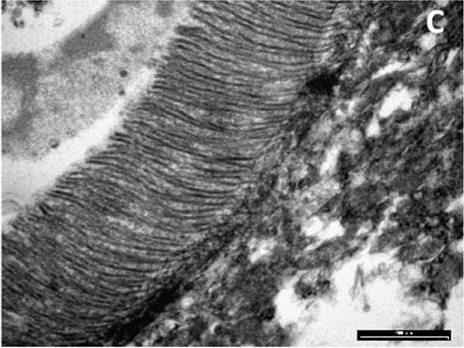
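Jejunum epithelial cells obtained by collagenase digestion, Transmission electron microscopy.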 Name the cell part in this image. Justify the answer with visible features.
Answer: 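The band runs along a curved cell surface. On this evidence: brush border.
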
